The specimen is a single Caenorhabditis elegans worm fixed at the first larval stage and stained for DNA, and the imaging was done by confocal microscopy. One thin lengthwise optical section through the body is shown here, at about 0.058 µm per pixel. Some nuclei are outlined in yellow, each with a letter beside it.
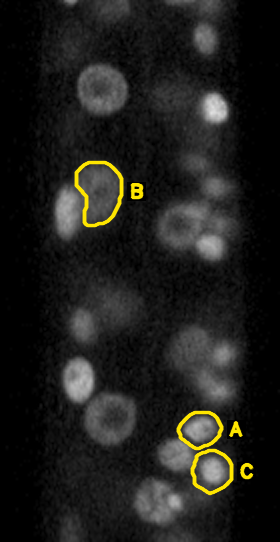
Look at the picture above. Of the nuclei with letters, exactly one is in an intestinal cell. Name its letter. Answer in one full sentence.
B is from an intestinal cell.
